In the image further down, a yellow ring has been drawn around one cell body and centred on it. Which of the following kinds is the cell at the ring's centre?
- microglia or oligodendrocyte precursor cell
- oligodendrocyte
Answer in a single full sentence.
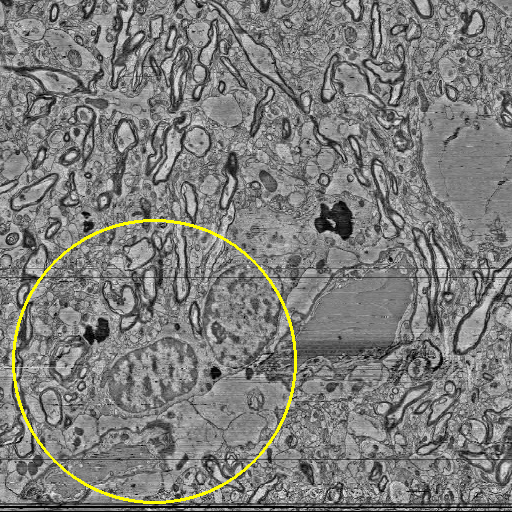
In the picture, the cell sitting at the centre of the yellow ring is an oligodendrocyte.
